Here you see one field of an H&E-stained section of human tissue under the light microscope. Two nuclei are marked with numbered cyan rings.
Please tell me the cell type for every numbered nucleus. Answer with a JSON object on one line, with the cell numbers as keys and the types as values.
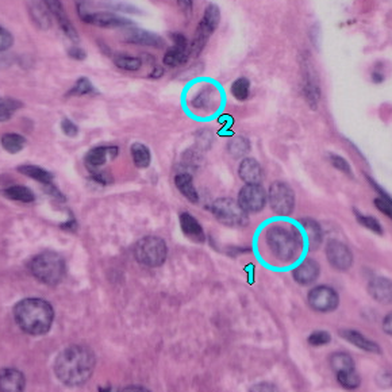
{"1": "cholangiocyte", "2": "fibroblast or stellate cell"}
